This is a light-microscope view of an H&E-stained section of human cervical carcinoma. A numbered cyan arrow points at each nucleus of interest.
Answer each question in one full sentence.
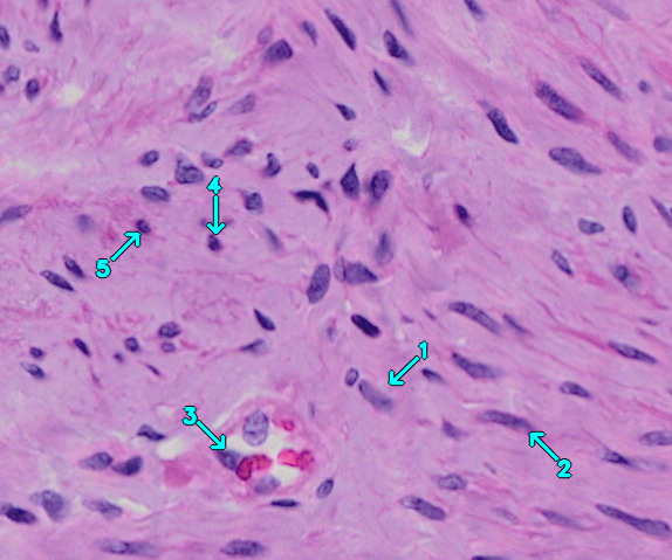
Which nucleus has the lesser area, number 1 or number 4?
Nucleus 4 covers less area, with nucleus 1 about 4 times as large.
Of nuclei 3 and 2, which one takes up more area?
Nucleus 3 covers more area, about 2 times as much as nucleus 2.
